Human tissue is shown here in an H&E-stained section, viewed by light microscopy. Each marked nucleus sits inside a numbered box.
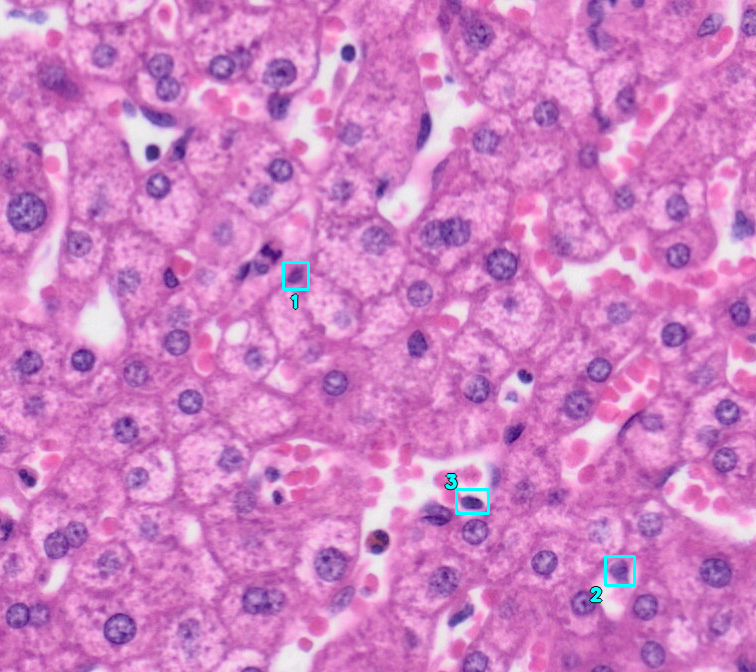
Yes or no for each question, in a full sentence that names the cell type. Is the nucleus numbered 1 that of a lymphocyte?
No, it is a fibroblast or stellate cell, not a lymphocyte, at number 1.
